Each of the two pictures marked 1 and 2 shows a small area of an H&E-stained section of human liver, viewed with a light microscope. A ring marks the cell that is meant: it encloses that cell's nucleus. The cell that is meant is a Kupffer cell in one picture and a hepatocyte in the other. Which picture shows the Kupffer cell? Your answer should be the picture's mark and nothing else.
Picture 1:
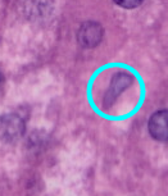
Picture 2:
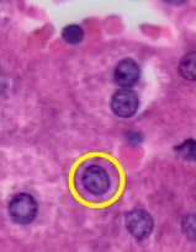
1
